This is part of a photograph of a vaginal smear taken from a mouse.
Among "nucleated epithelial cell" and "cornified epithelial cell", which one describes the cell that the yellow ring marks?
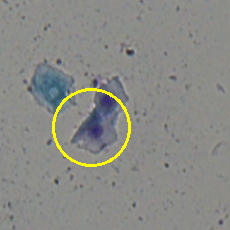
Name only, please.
nucleated epithelial cell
